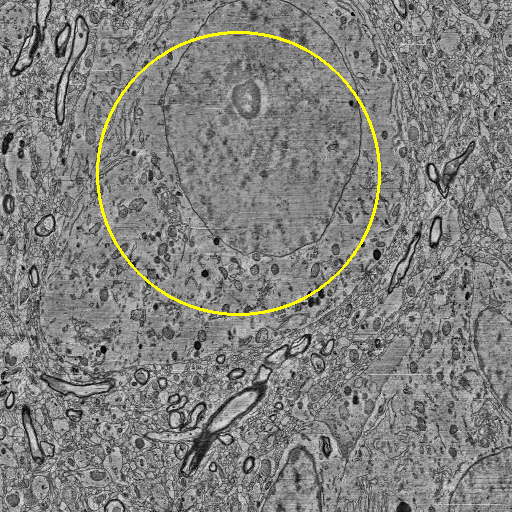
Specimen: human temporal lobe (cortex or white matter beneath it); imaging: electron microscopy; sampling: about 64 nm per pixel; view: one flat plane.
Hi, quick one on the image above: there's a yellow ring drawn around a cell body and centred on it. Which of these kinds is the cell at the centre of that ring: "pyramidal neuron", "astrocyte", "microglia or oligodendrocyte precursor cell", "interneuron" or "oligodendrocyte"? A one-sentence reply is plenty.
The cell at the centre of the ring is a pyramidal neuron.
